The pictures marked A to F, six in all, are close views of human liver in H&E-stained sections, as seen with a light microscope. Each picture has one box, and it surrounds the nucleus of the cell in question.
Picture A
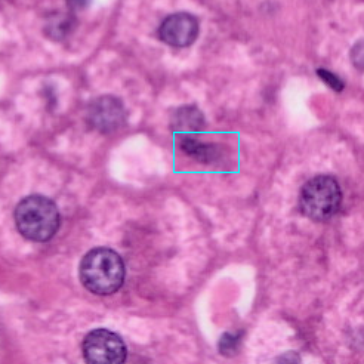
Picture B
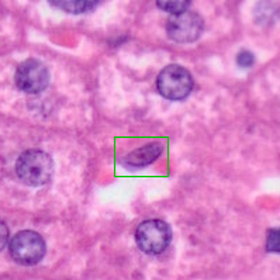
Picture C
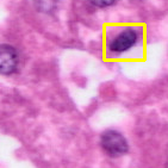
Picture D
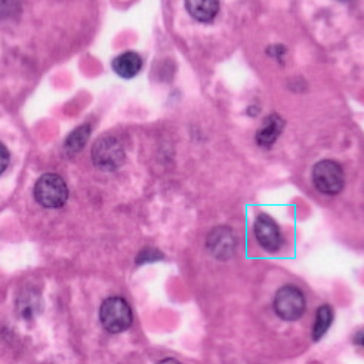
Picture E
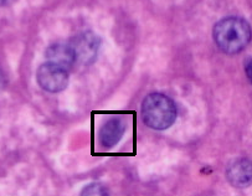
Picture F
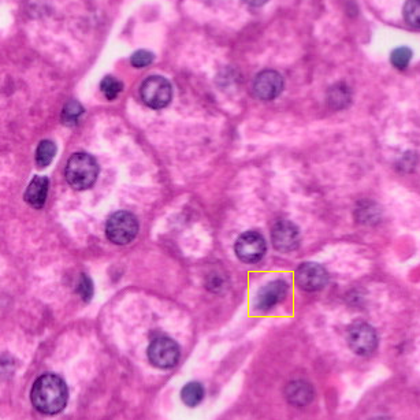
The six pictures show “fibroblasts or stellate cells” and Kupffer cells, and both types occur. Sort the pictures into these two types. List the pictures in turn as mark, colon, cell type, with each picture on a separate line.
A: fibroblast or stellate cell
B: Kupffer cell
C: fibroblast or stellate cell
D: Kupffer cell
E: Kupffer cell
F: Kupffer cell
